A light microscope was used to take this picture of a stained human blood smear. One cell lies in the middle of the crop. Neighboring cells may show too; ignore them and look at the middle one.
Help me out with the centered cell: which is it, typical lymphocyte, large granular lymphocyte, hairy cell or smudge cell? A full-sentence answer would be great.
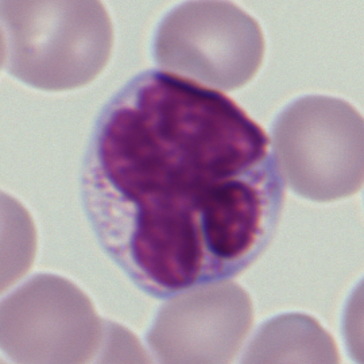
The centrally located cell in the crop is a large granular lymphocyte.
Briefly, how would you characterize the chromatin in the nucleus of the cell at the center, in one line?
Coarse clumps are absent, and the chromatin is fine throughout.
